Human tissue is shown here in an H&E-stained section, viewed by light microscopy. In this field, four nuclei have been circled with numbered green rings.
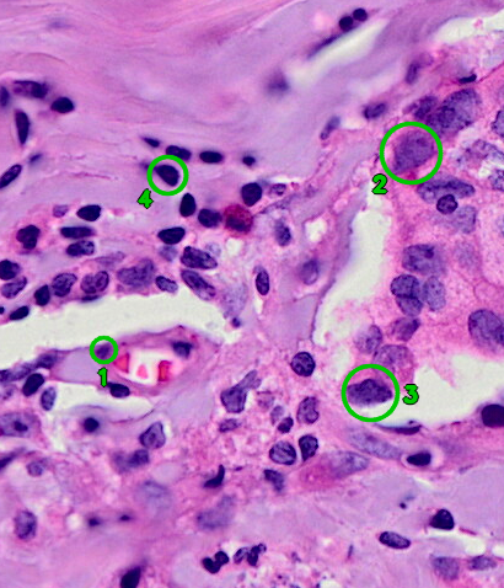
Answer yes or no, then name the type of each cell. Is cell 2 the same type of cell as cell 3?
Yes, both are carcinoma cells.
